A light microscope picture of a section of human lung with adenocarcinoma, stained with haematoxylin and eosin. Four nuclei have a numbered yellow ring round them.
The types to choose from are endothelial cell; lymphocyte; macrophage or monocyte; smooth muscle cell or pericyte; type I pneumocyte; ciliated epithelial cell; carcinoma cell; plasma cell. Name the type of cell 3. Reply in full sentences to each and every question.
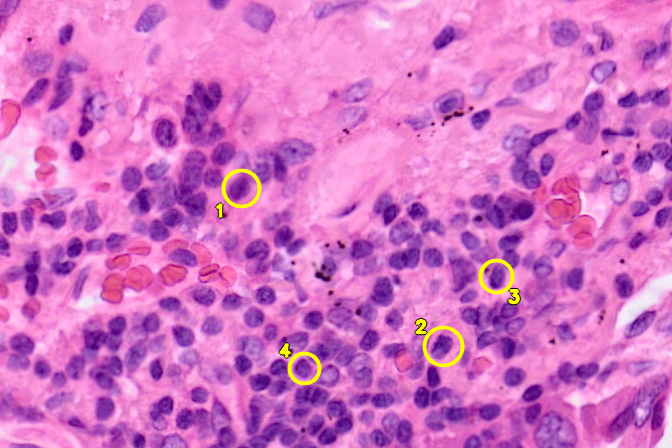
The cell pointed out as number 3 is a lymphocyte.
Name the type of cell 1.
The nucleus labeled 1 belongs to a plasma cell.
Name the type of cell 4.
The cell assigned the number 4 is a lymphocyte.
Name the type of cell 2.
Cell 2 of the marked set is a lymphocyte.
